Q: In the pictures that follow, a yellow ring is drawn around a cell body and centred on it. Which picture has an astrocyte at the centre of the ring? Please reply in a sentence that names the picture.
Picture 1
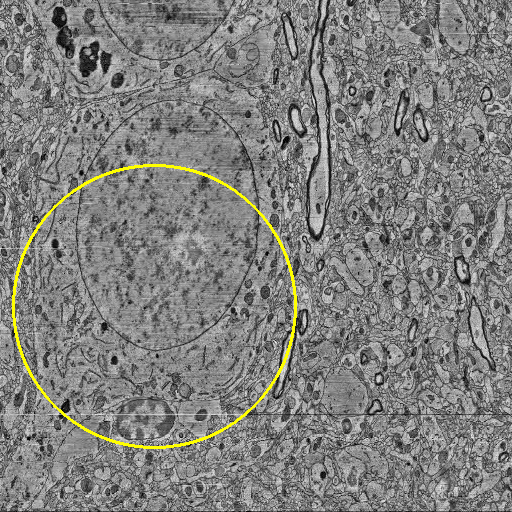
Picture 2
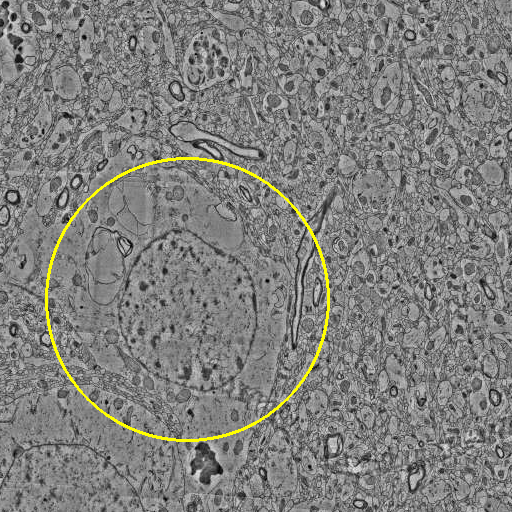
Picture 2 shows it at the centre of its ring.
